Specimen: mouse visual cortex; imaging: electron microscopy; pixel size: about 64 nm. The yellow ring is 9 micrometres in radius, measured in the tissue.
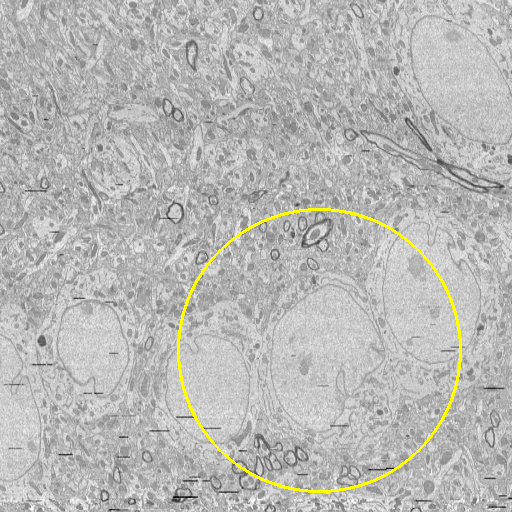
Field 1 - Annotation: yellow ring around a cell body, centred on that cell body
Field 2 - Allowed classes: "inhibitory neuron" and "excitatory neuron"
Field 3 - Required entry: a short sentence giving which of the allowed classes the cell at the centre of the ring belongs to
The centred cell is an inhibitory neuron.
